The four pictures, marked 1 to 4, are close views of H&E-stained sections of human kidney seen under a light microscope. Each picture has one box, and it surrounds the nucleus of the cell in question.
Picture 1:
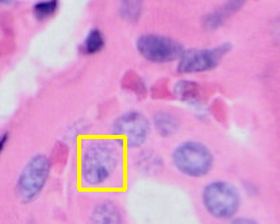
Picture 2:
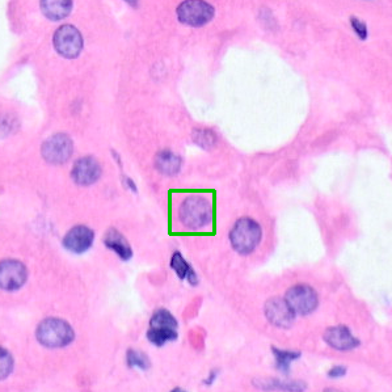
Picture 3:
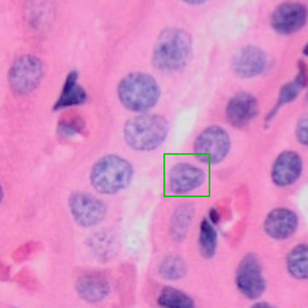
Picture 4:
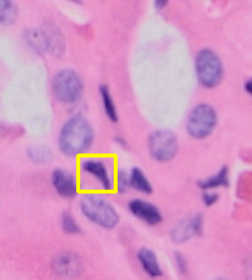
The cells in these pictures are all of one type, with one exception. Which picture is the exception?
2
